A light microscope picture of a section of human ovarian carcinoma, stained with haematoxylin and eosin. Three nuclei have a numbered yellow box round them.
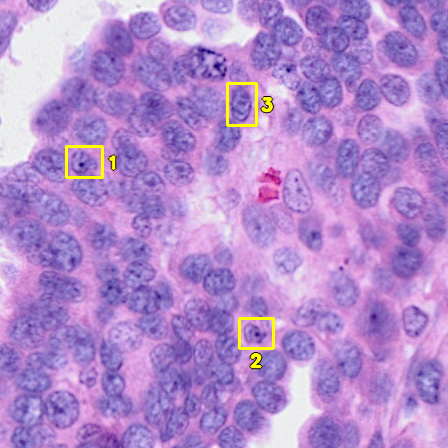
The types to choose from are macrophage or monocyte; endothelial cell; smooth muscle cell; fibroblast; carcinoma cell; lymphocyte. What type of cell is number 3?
carcinoma cell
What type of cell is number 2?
macrophage or monocyte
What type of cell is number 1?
macrophage or monocyte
